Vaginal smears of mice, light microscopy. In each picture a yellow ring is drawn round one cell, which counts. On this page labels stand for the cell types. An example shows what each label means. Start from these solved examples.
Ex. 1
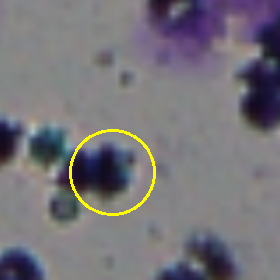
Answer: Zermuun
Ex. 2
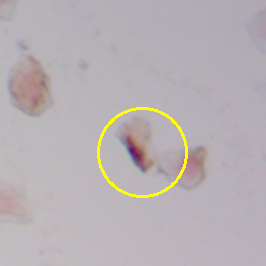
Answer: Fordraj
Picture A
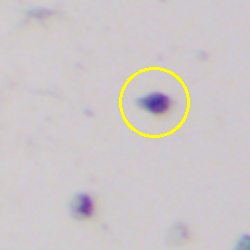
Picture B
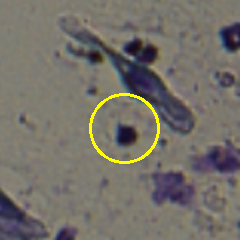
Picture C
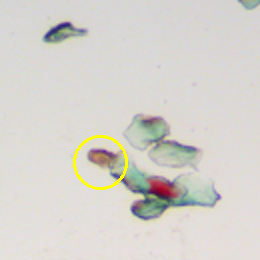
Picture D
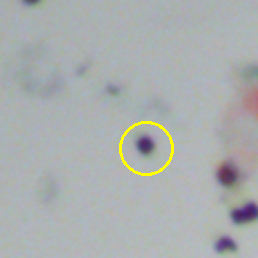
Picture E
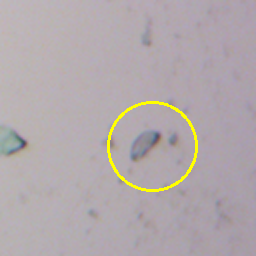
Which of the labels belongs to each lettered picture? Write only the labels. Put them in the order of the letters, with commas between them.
Zermuun, Zermuun, Fordraj, Zermuun, Fordraj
